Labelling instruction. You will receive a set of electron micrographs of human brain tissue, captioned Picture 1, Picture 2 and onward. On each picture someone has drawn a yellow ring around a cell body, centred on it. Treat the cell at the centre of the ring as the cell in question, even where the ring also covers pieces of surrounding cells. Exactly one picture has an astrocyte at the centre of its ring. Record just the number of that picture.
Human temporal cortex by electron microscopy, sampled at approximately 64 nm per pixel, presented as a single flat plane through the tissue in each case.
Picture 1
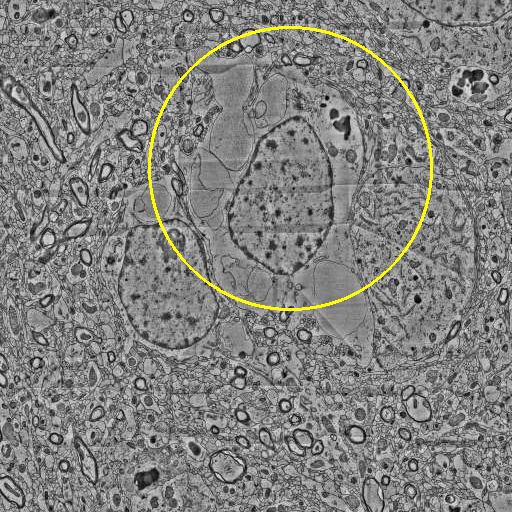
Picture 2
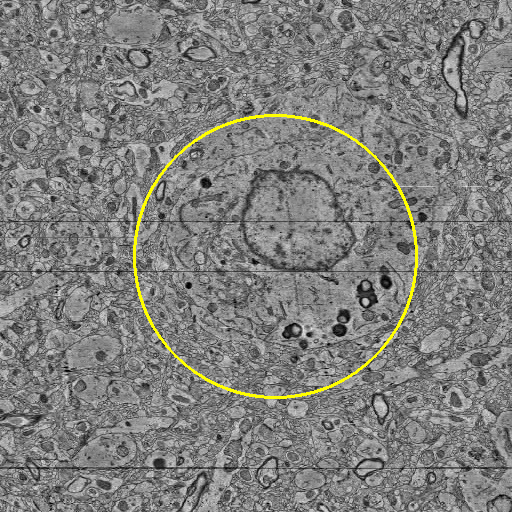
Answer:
1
